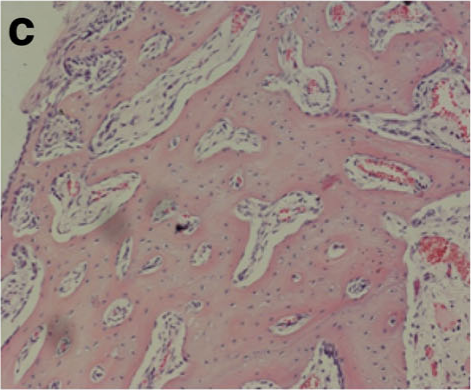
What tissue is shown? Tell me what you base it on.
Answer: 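Broad interconnected pink plates of bone matrix. Small dark nuclei scattered through the matrix. Spaces between the plates holding loose tissue and vessels.
Conclusion: trabecular bone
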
